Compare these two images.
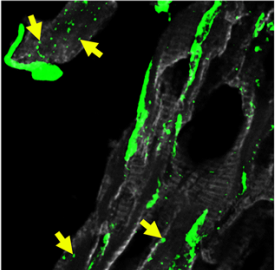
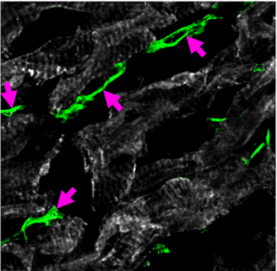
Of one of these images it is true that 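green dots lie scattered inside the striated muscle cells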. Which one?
the first image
